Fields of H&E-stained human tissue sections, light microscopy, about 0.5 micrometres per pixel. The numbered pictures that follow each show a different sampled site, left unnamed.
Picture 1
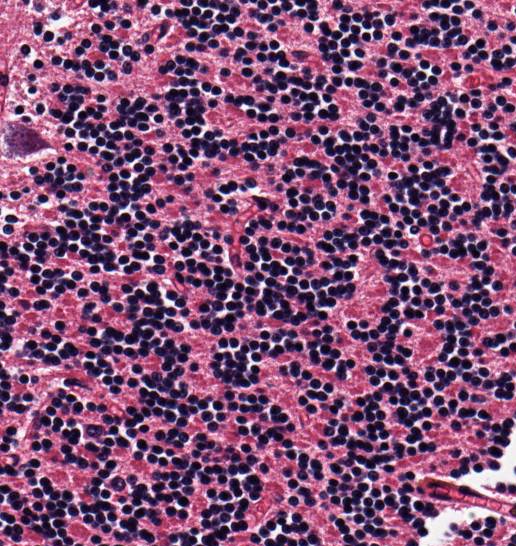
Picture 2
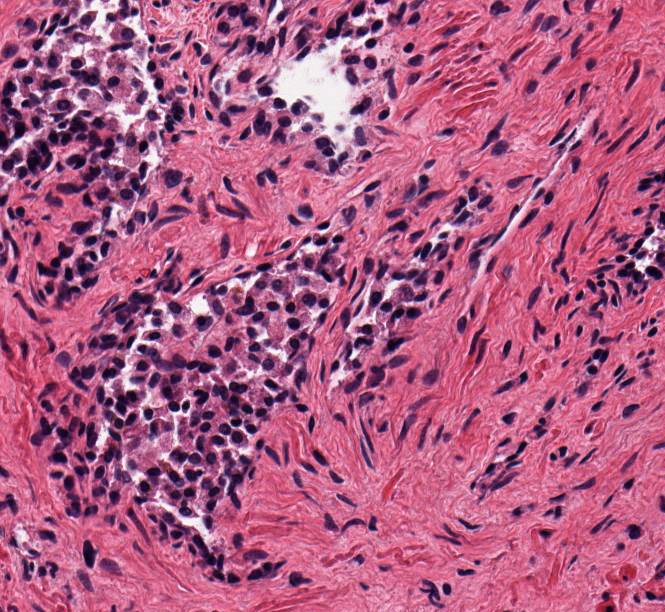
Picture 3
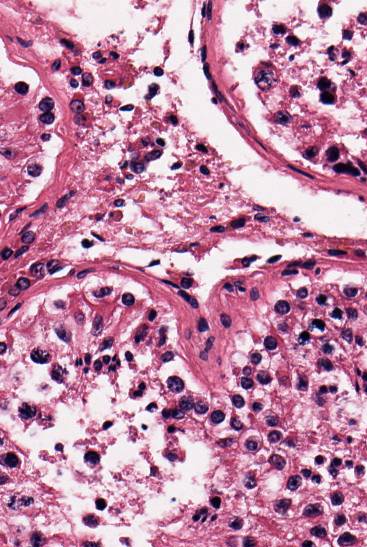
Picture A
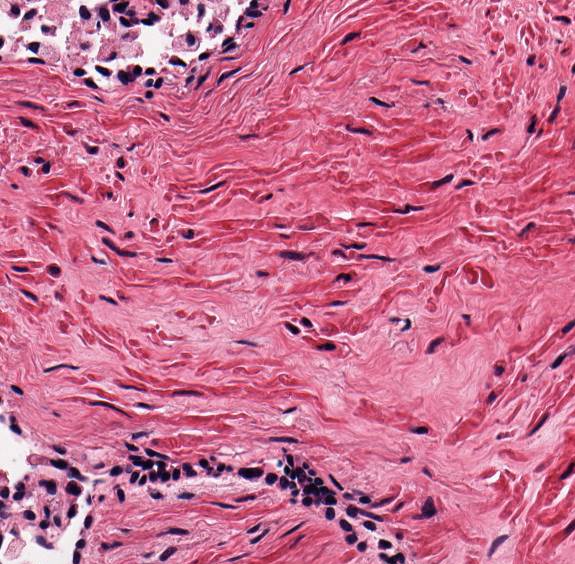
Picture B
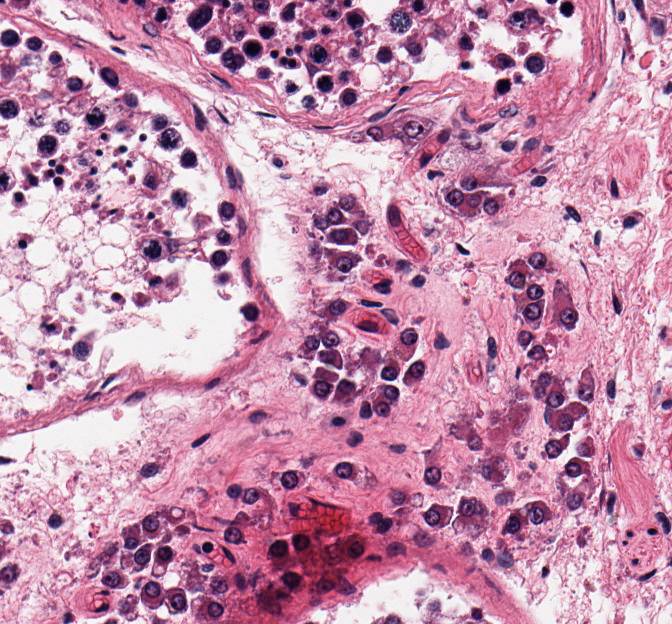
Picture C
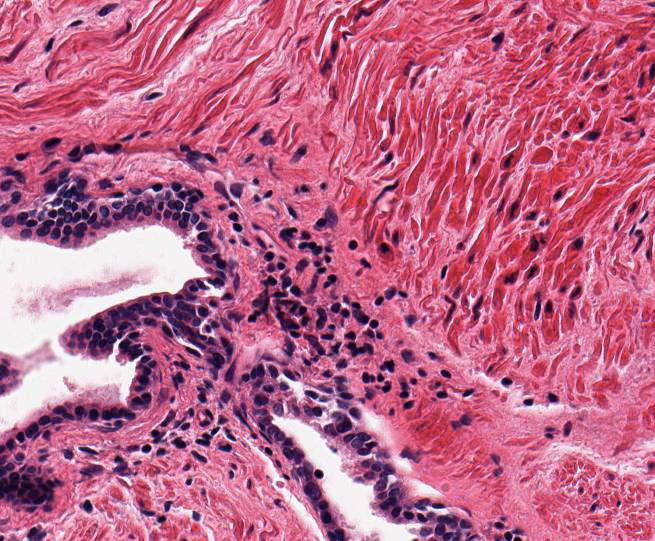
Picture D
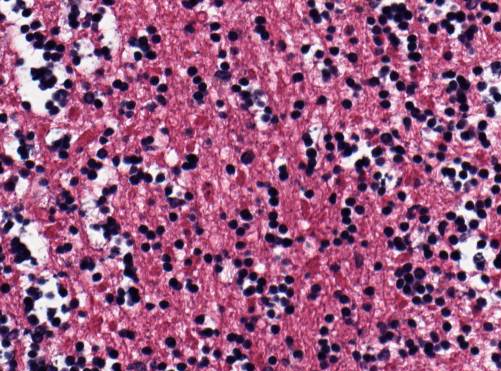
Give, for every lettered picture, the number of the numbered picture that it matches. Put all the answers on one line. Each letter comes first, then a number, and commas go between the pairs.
A 2, B 3, C 2, D 1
